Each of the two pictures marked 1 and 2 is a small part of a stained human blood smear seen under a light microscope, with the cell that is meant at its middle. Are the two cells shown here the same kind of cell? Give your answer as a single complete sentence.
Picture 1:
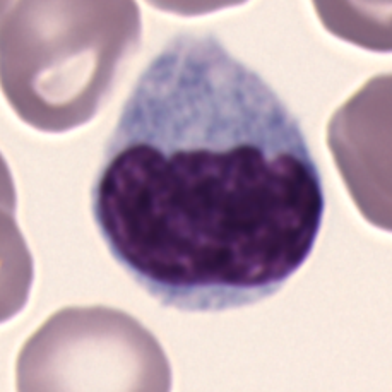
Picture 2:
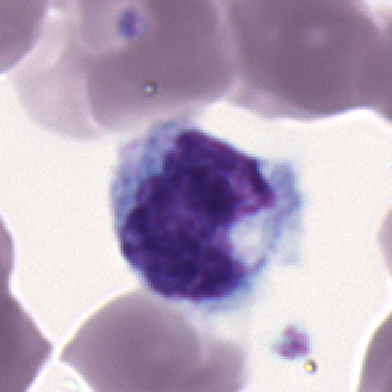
Yes; the cells in both pictures are monocytes.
